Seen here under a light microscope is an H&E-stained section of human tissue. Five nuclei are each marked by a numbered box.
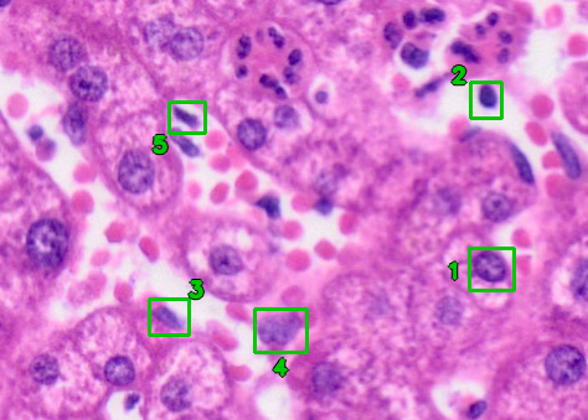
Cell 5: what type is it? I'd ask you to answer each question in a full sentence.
Among the marked nuclei, number 5 belongs to a lymphocyte.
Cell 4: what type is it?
Cell 4 of the marked set is a Kupffer cell.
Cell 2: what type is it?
What the number 2 marks in this field is a lymphocyte.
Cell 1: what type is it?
Cell 1 in the field of view is a hepatocyte.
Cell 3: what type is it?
Corresponding to an endothelial cell is the cell labelled 3.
